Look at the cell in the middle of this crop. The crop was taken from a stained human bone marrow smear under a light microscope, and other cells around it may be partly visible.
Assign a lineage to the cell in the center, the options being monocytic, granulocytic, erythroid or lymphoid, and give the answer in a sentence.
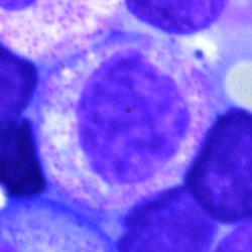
The cell that sits at the center is attributed to the granulocytic lineage.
